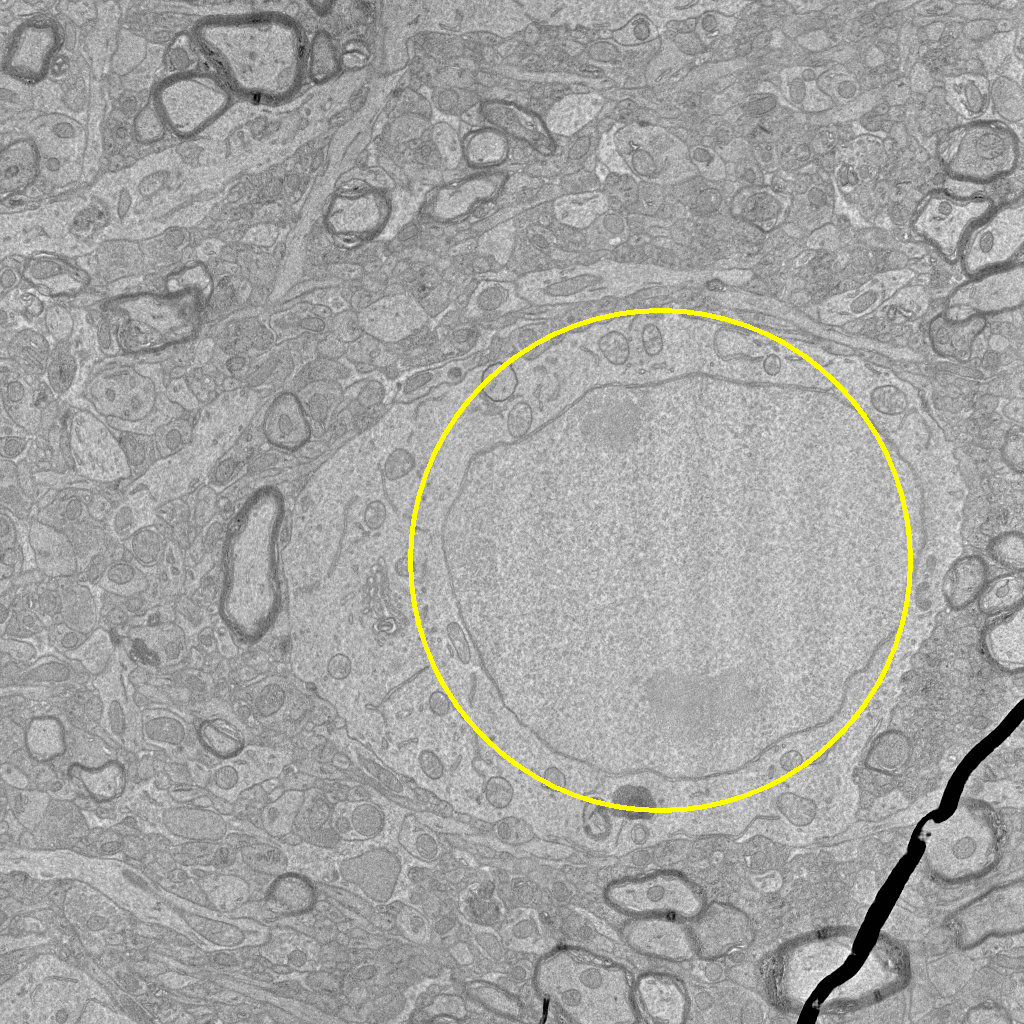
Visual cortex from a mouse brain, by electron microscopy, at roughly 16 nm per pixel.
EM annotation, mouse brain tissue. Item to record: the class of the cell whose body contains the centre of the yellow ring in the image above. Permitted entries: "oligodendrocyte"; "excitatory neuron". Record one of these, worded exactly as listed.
excitatory neuron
